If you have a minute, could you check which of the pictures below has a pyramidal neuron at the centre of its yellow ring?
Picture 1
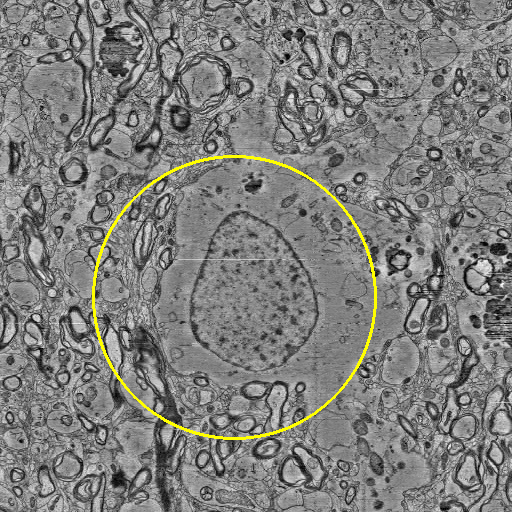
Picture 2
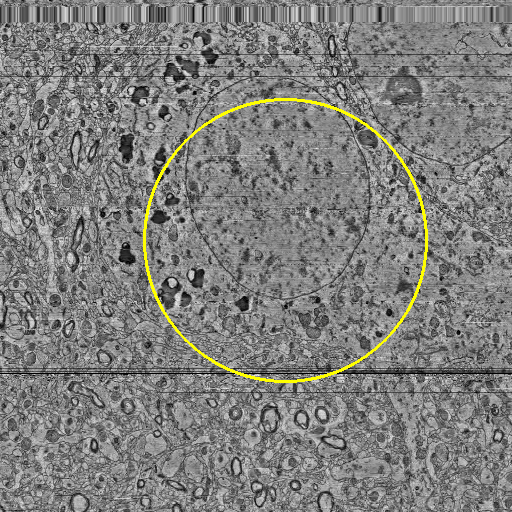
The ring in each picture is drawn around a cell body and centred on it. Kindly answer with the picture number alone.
2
